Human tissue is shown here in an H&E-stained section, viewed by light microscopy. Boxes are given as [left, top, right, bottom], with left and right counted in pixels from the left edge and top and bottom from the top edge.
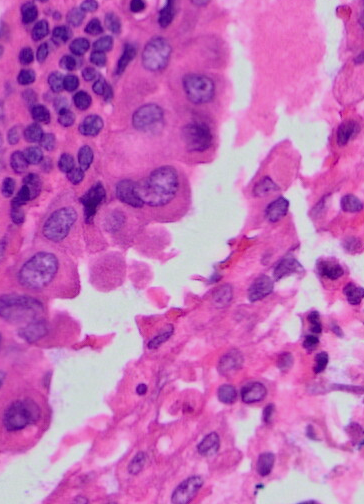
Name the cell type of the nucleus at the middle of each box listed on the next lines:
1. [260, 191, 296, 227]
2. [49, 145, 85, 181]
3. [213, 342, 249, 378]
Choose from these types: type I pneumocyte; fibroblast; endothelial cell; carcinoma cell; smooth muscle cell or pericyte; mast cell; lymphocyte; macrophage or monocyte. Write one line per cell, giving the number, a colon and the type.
1: macrophage or monocyte
2: lymphocyte
3: macrophage or monocyte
